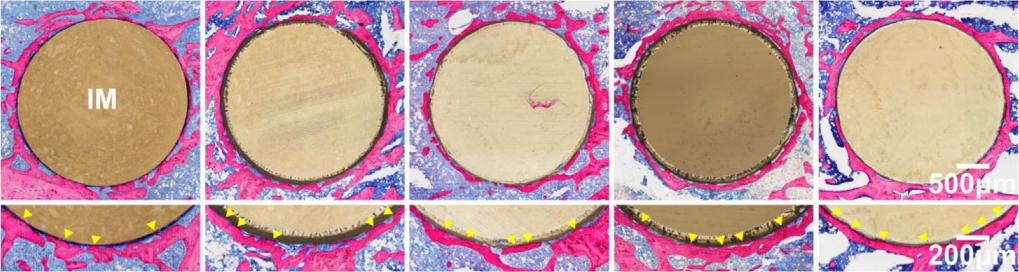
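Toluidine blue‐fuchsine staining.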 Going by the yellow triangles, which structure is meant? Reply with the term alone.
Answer: New bone in direct contact with the implant.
